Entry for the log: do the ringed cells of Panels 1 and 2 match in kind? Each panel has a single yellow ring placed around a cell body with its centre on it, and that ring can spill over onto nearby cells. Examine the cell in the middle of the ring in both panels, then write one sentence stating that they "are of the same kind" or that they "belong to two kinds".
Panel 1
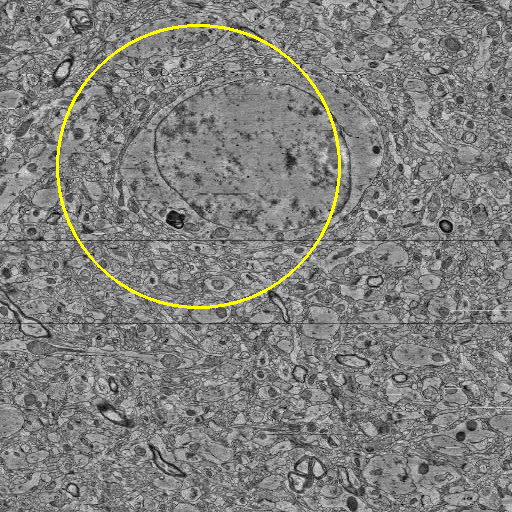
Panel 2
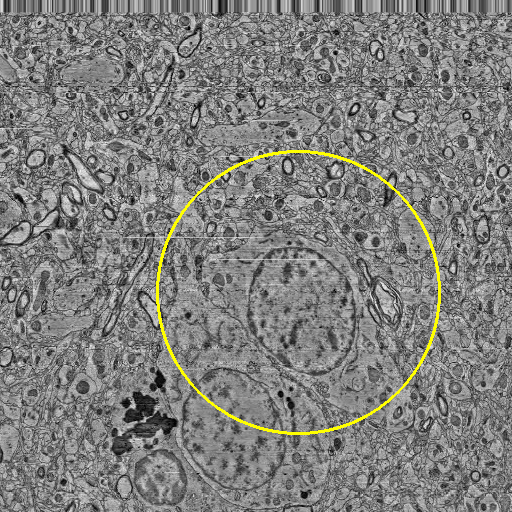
The centre cell of Panel 1's ring and that of Panel 2's ring belong to two kinds.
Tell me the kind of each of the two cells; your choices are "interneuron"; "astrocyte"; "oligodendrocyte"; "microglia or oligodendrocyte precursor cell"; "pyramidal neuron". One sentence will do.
The ringed cell is a pyramidal neuron in the first picture and an astrocyte in the second picture.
